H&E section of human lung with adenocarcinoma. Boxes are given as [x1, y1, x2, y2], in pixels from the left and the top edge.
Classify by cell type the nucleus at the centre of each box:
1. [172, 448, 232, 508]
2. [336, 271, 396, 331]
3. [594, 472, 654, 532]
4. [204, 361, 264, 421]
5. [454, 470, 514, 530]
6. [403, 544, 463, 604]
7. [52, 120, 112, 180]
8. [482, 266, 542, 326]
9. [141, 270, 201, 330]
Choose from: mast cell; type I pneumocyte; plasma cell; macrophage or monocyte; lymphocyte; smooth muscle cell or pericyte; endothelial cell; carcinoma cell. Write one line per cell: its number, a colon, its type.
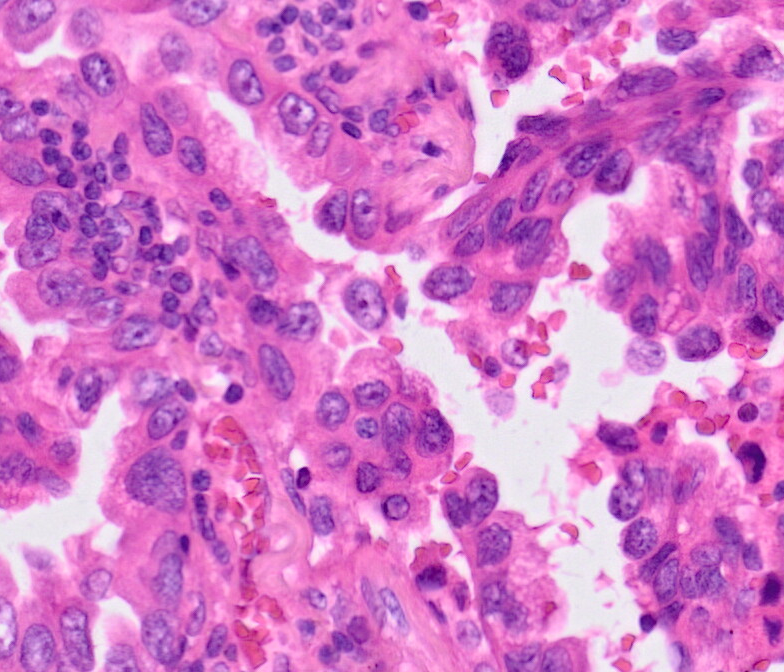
1: lymphocyte
2: carcinoma cell
3: carcinoma cell
4: lymphocyte
5: carcinoma cell
6: carcinoma cell
7: lymphocyte
8: carcinoma cell
9: lymphocyte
